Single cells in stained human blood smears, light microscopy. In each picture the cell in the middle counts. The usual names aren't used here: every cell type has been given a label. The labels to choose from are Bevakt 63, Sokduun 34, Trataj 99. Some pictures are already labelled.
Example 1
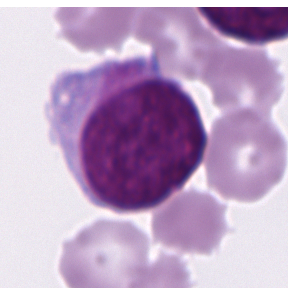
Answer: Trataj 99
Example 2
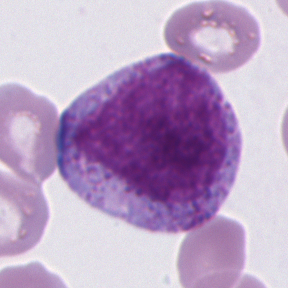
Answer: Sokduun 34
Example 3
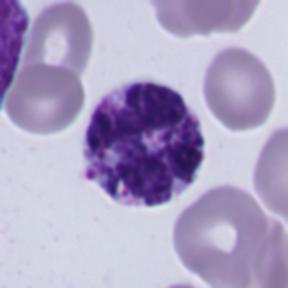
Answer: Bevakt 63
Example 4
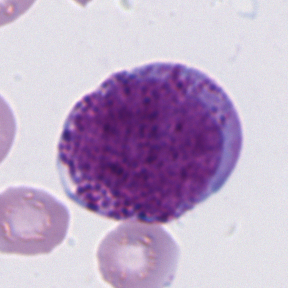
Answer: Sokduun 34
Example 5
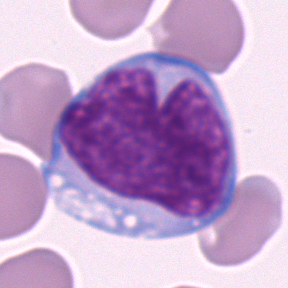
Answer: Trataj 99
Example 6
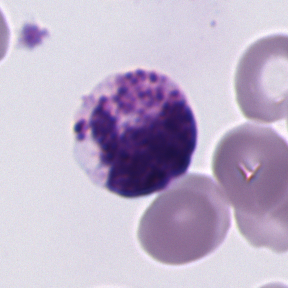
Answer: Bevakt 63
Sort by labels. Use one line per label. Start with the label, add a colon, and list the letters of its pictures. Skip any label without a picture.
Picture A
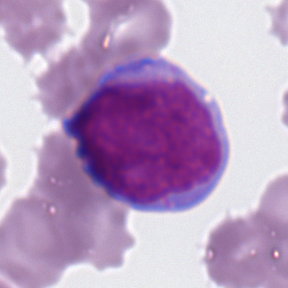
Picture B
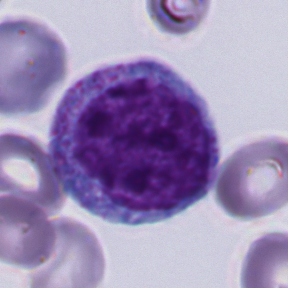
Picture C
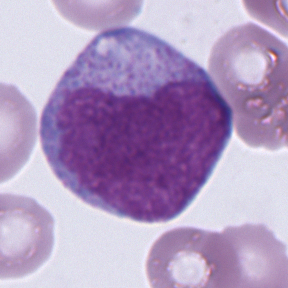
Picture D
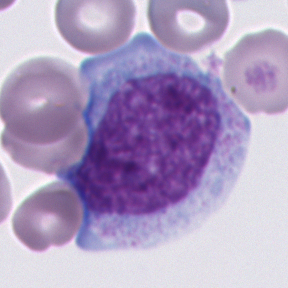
Sokduun 34: B, C, D
Trataj 99: A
